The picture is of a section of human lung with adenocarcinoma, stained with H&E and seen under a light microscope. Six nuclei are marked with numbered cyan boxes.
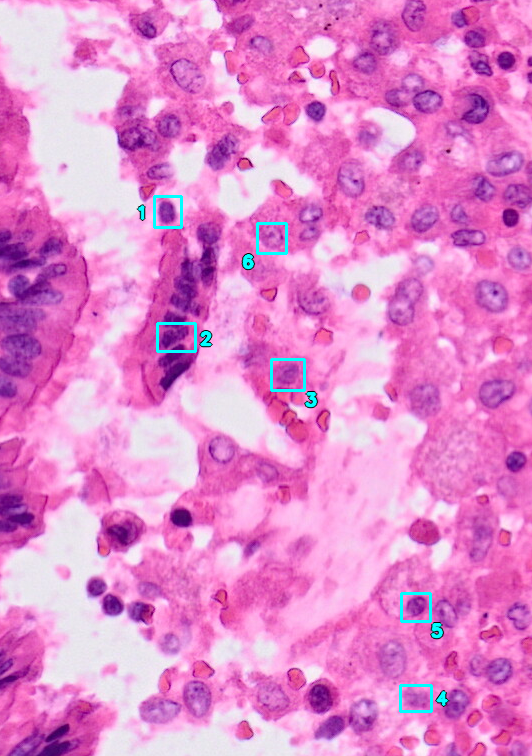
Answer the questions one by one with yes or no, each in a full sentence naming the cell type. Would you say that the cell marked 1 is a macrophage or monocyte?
No, the cell bearing number 1 is not a macrophage or monocyte but a lymphocyte.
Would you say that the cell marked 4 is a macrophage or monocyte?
Yes, the cell whose nucleus carries number 4 is a macrophage or monocyte.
